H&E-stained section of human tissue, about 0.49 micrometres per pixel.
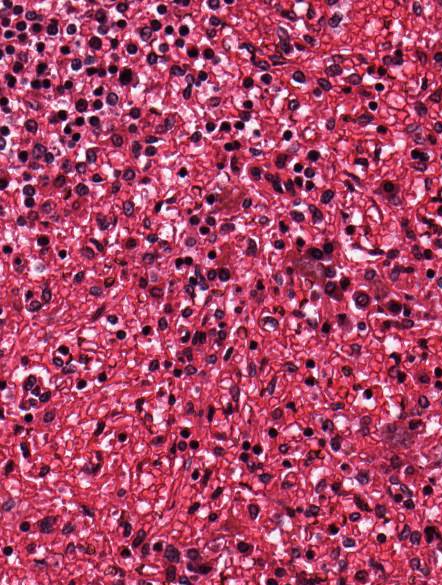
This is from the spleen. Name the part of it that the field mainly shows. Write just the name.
red pulp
